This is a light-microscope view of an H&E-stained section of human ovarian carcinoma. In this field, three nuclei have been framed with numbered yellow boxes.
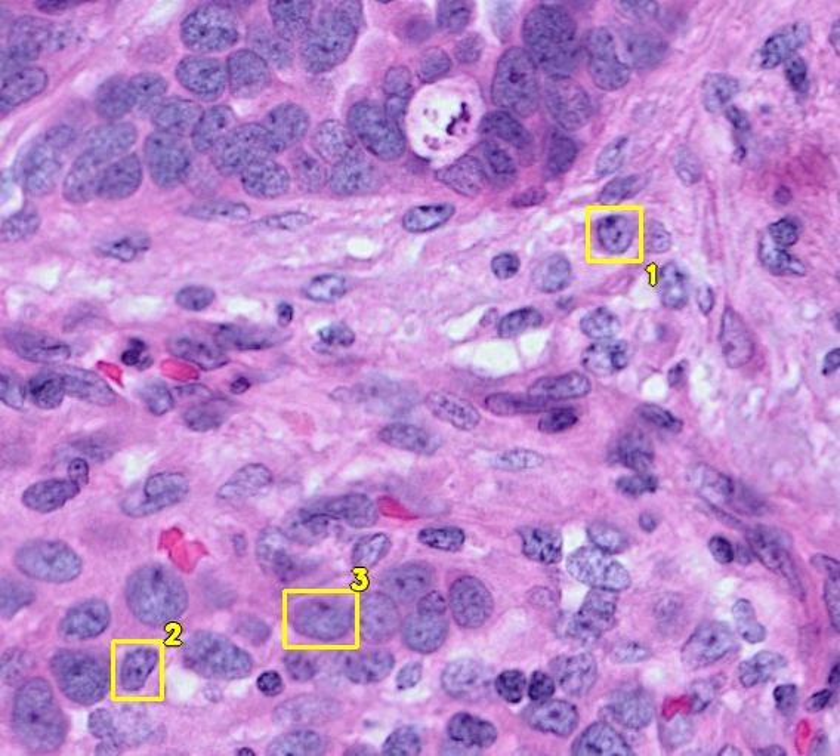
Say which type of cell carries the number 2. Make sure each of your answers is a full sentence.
Number 2 is placed on a macrophage or monocyte here.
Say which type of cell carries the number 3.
Within this field of view, the cell labelled 3 is a carcinoma cell.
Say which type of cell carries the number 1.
Cell 1 of the marked set is a macrophage or monocyte.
